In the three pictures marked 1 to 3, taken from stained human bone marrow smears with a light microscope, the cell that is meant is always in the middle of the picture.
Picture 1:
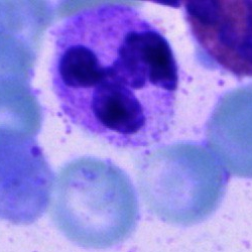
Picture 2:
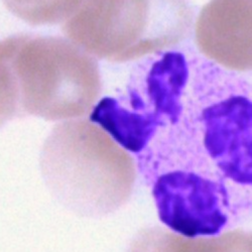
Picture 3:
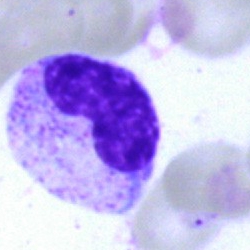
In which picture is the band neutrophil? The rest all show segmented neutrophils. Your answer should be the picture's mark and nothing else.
3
